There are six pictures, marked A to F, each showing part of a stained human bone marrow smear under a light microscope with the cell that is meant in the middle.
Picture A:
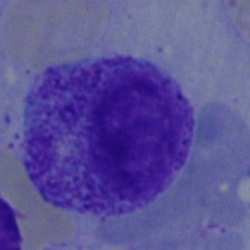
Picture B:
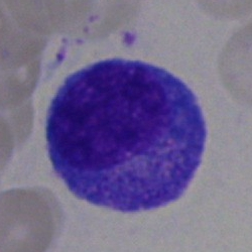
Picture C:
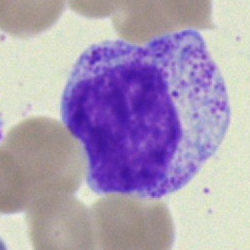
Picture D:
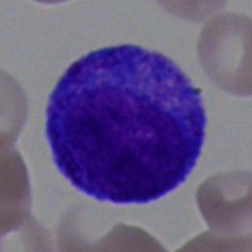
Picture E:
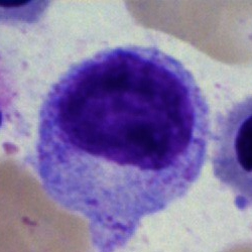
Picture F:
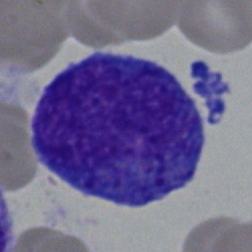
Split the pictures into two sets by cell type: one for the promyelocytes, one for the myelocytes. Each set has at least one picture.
A: myelocyte
B: promyelocyte
C: myelocyte
D: promyelocyte
E: myelocyte
F: promyelocyte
